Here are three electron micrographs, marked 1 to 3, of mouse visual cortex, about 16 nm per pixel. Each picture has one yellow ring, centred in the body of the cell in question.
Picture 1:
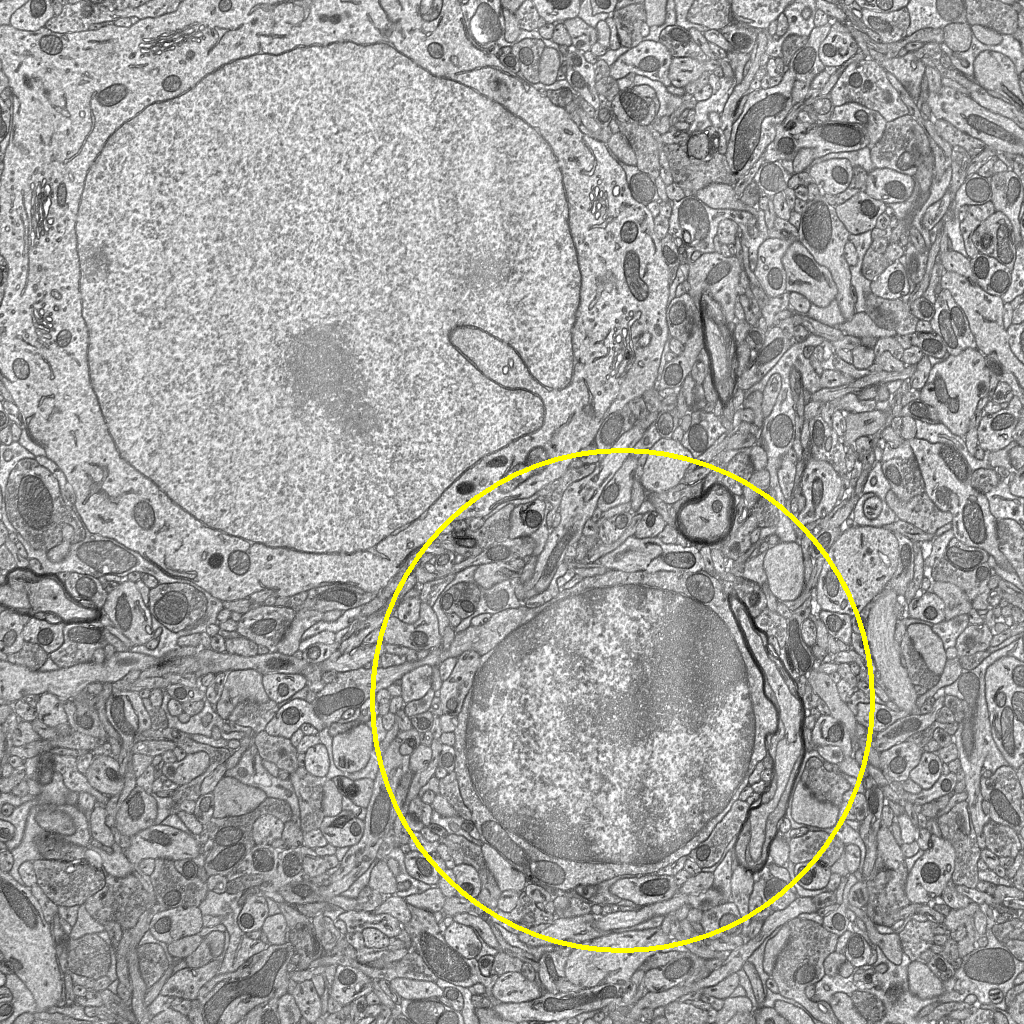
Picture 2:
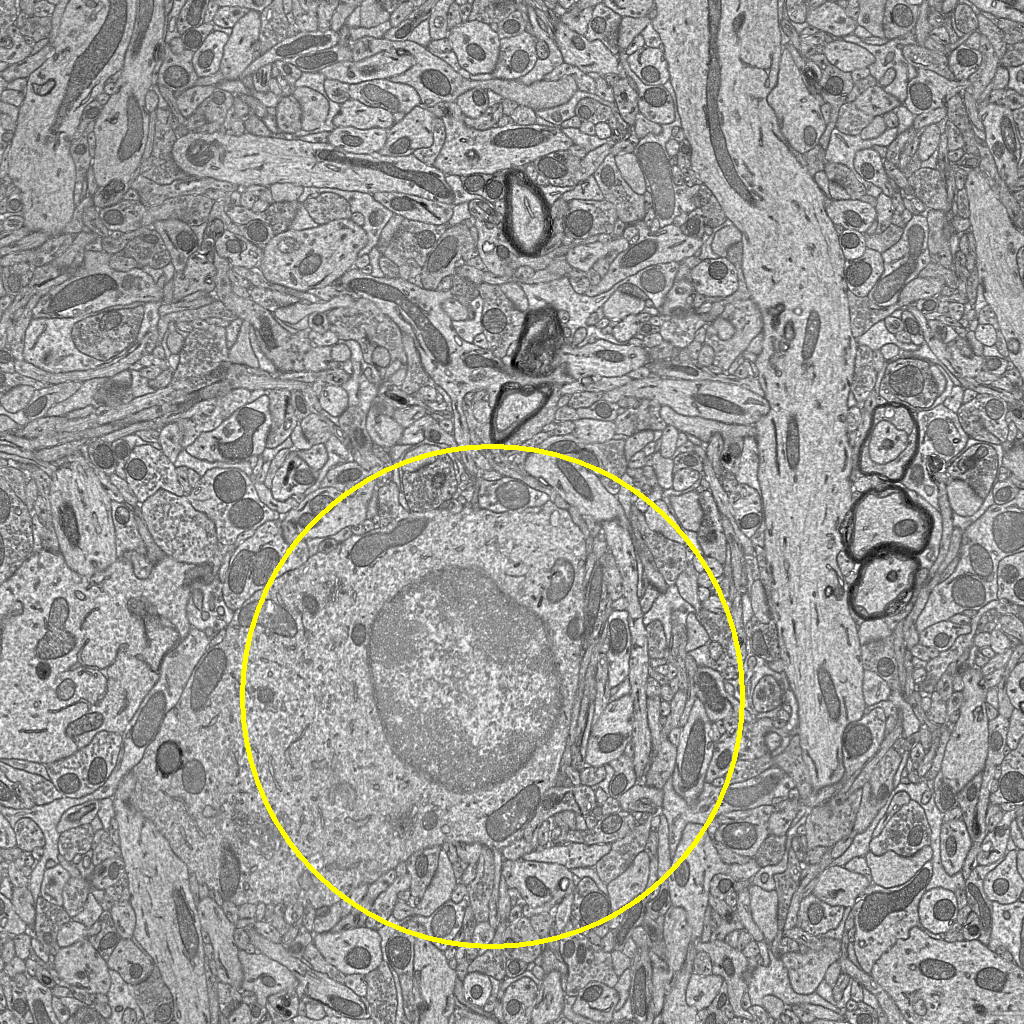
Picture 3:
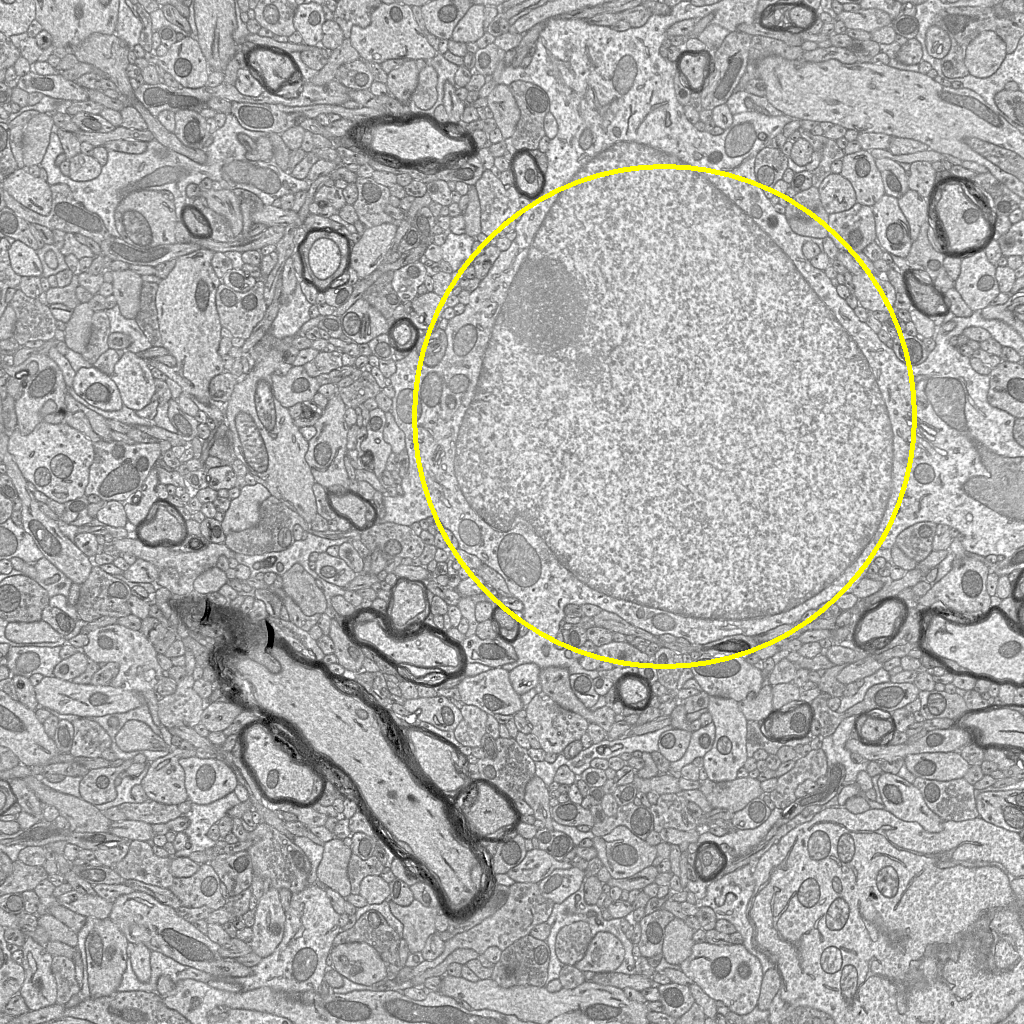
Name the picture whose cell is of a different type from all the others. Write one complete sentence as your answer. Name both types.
All pictures except 3 show oligodendrocytes; picture 3 shows an astrocyte.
